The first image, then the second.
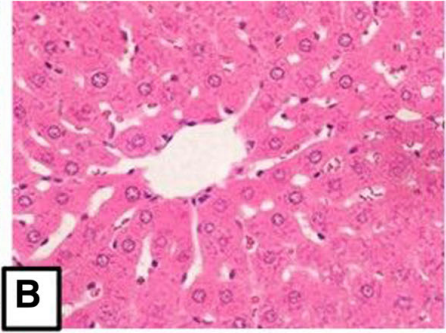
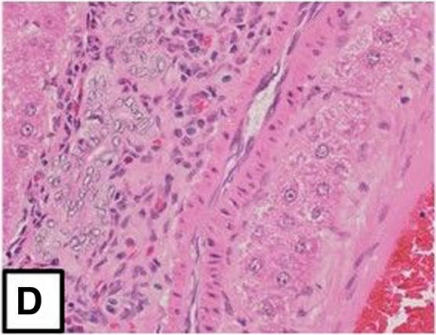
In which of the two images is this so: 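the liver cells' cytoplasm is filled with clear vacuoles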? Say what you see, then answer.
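Second image: many cells have pale, foamy cytoplasm with small clear spaces. First image: cells have evenly pink, solid cytoplasm.
Answer: the second image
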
